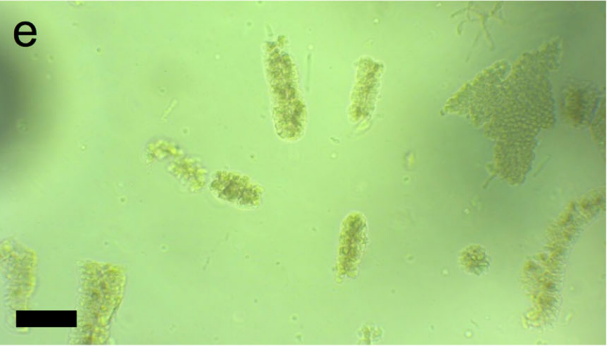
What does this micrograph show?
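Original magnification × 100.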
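Isolated intestinal crypts floating in a clear, pale green medium, unstained. The crypts are short to medium, elongated tubular units with rounded ends, their walls formed of many small, tightly packed epithelial cells giving a finely granular texture. Several are broken into shorter pieces or small clusters. The units are well separated, with sparse debris between them and no attached stroma.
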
